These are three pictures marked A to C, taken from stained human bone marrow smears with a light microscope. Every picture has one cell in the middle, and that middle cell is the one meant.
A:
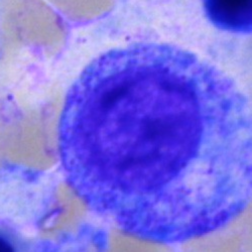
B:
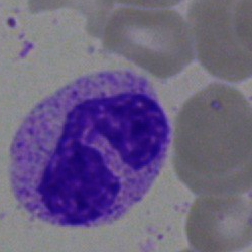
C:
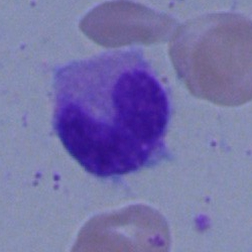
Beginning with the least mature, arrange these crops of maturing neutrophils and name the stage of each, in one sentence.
Across the crops, maturity increases in the order crop A (a promyelocyte), crop C (a band neutrophil) and crop B (a segmented neutrophil).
